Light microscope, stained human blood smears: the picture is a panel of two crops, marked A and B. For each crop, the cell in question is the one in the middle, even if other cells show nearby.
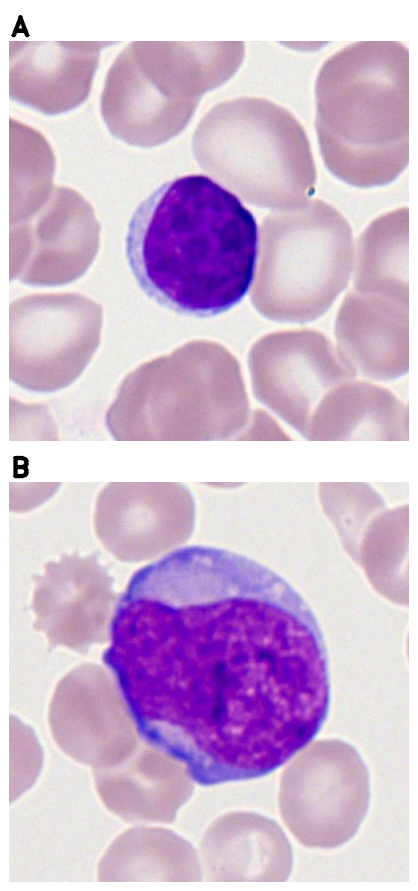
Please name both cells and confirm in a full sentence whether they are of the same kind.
No, in crop A the cell is a lymphocyte, and in crop B it is a myeloblast.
